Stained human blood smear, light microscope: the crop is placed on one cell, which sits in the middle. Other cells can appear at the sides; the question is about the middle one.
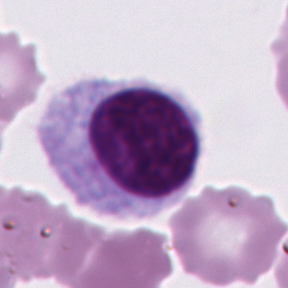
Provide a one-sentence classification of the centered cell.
Regarding the central cell, it is a hairy cell.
